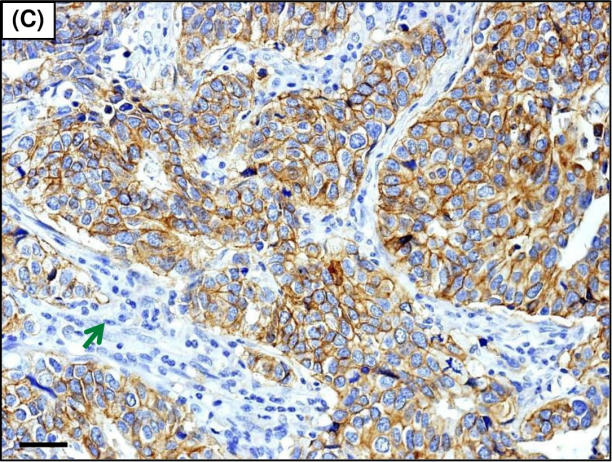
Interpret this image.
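The tumour cells are polygonal and crowded, with large round to oval pale blue nuclei, many of them with visible nucleoli. A brown stain outlines their cell borders and fills much of their cytoplasm, giving the nests a brown, net-like look. The stromal bands between the nests hold cells with slender, elongated blue nuclei that carry no brown stain. The sharp boundary between brown tumour nests and unstained blue stroma defines the overall pattern.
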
